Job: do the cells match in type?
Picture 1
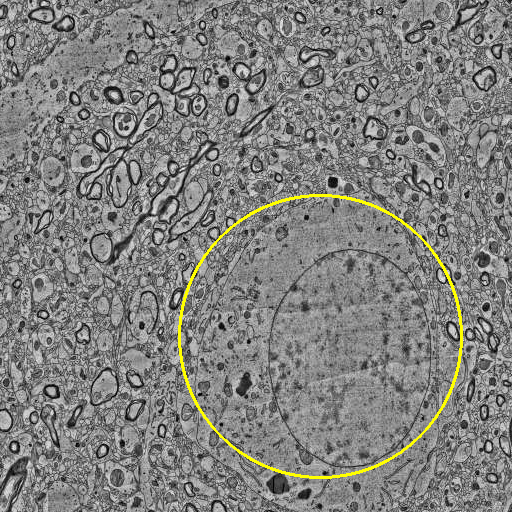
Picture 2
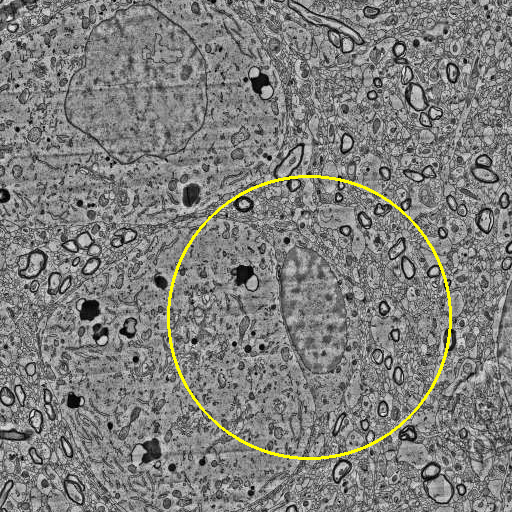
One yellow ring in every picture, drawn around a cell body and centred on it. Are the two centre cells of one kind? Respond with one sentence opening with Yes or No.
No, the ringed cells in the two pictures are of two separate kinds.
